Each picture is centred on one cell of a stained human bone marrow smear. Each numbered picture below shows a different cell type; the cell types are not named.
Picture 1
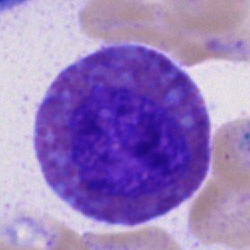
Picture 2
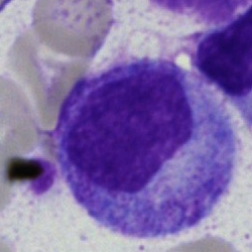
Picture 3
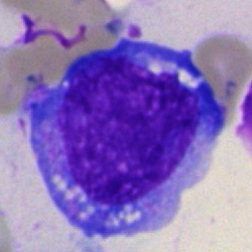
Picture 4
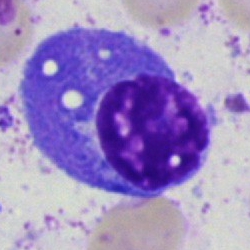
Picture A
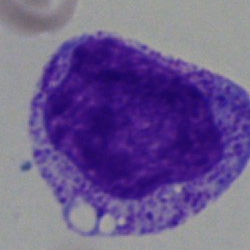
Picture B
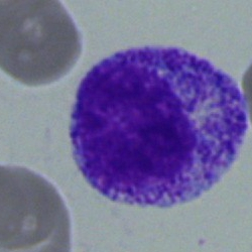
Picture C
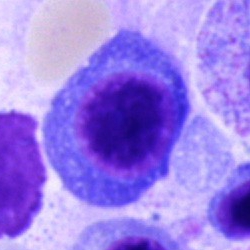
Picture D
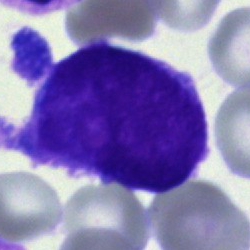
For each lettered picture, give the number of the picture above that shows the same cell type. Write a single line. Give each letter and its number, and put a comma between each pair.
A 2, B 2, C 4, D 3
